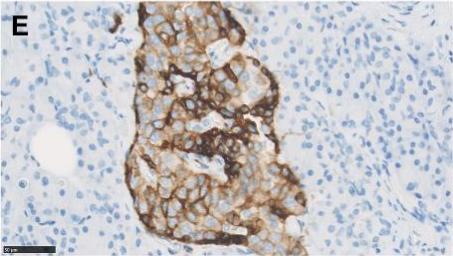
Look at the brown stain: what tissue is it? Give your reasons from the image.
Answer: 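The cluster lies within unstained glandular tissue with blue nuclei. The stained cells are polygonal with outlined membranes. The answer: pancreatic islets.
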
